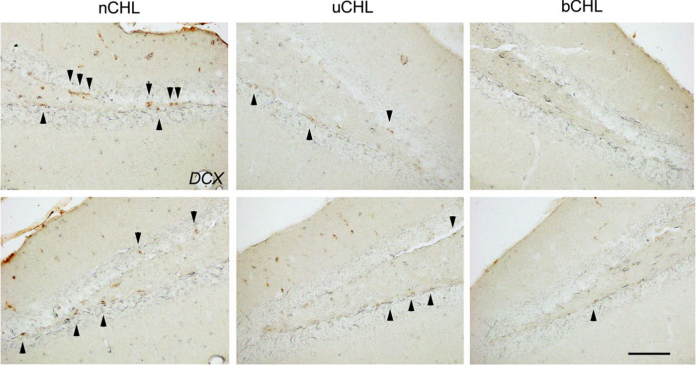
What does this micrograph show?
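Brightfield sections of the dentate gyrus show the densely packed granule cell layer as a diagonal band on a pale background. The number of brown cells differs between the images, with few or none in some.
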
